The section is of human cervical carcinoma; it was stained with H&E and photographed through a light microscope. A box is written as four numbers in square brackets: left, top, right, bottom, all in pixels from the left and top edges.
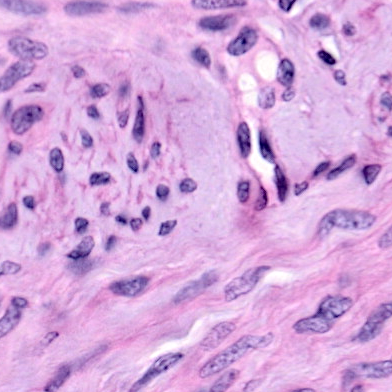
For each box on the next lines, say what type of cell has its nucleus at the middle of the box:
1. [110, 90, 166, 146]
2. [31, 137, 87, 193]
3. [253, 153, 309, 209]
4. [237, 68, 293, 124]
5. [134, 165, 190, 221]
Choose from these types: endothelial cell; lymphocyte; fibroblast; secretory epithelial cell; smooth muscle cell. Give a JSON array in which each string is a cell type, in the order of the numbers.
["smooth muscle cell", "smooth muscle cell", "endothelial cell", "endothelial cell", "smooth muscle cell"]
